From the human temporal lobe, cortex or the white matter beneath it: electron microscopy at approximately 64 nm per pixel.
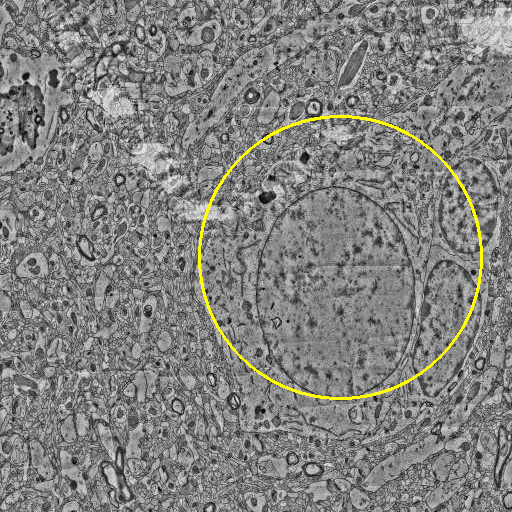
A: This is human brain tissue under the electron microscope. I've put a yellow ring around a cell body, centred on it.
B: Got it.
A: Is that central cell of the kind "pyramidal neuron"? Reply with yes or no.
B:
yes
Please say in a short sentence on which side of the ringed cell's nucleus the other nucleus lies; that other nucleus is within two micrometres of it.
The other nucleus can be seen to the right of it.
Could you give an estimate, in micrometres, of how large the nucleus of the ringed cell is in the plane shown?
In this plane, the nucleus of the cell at the centre of the ring measures about 14 by 10 micrometres.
